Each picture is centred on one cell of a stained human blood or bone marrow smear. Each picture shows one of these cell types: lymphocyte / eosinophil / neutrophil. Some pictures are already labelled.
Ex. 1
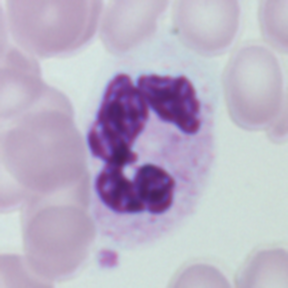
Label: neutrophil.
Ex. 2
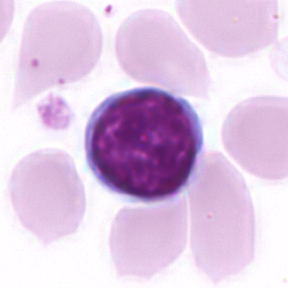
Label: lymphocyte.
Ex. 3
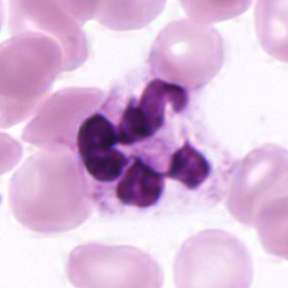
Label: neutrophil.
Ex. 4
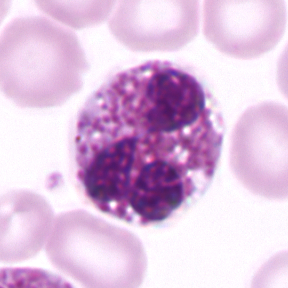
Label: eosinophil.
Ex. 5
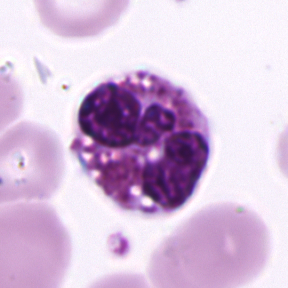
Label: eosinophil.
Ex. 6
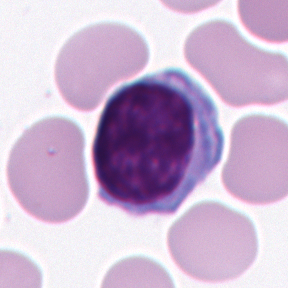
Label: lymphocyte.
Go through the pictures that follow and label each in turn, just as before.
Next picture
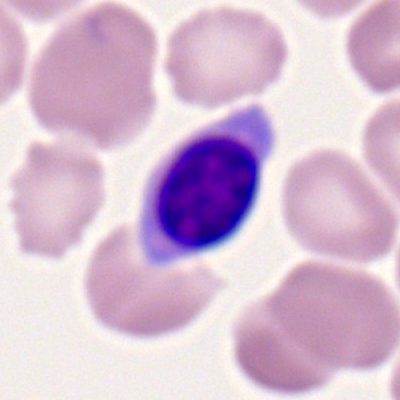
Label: lymphocyte.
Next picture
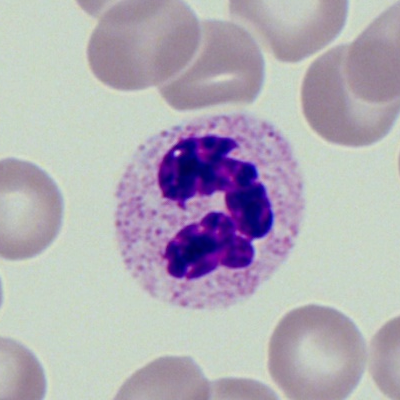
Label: neutrophil.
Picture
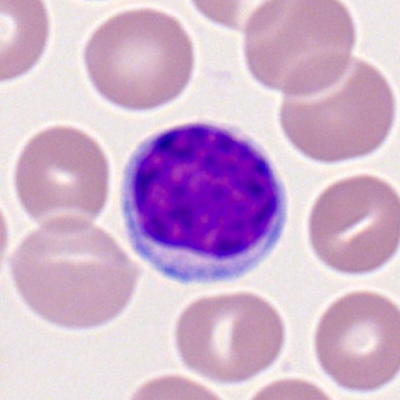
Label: lymphocyte.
